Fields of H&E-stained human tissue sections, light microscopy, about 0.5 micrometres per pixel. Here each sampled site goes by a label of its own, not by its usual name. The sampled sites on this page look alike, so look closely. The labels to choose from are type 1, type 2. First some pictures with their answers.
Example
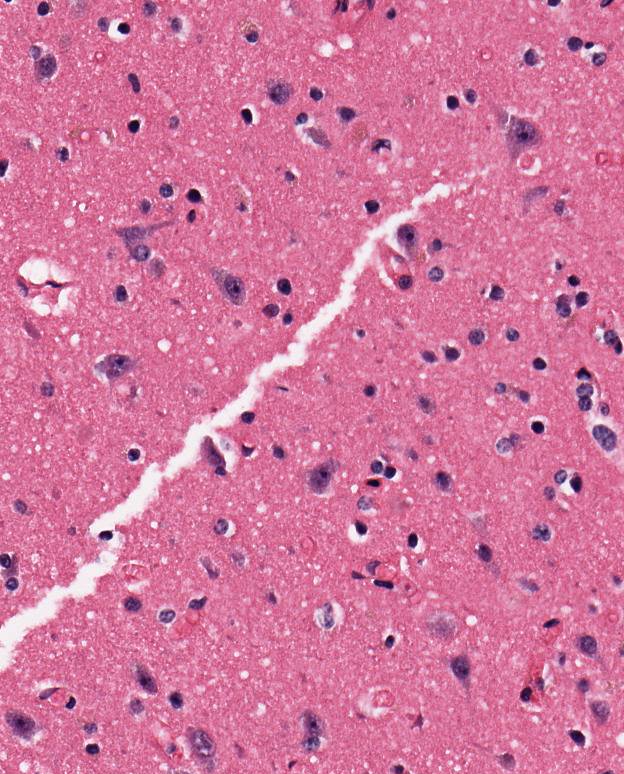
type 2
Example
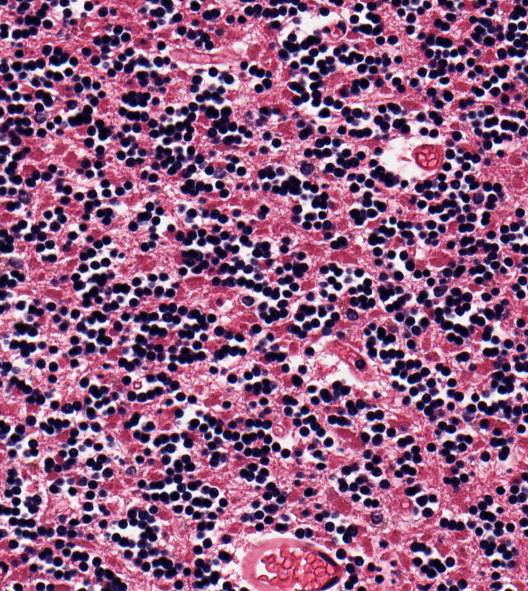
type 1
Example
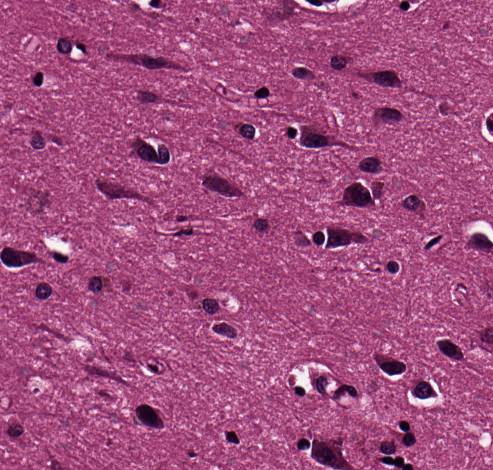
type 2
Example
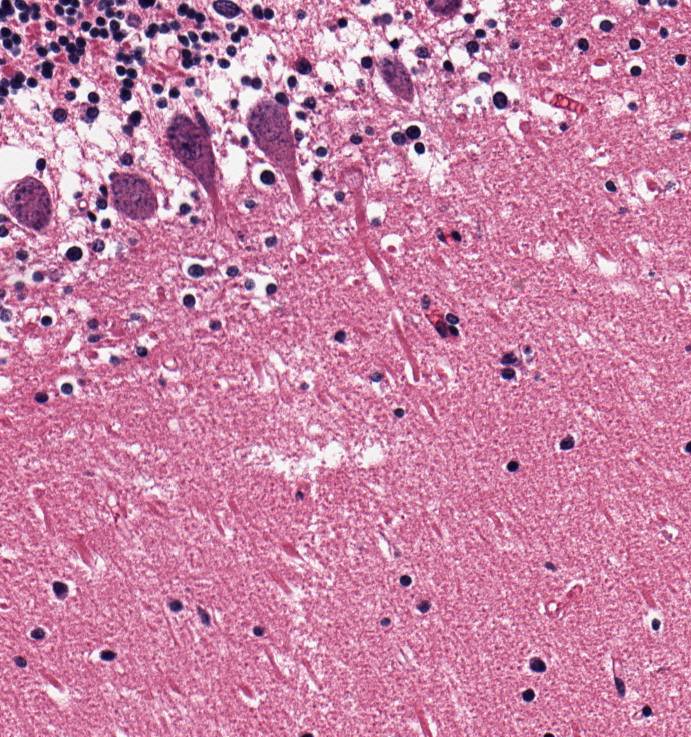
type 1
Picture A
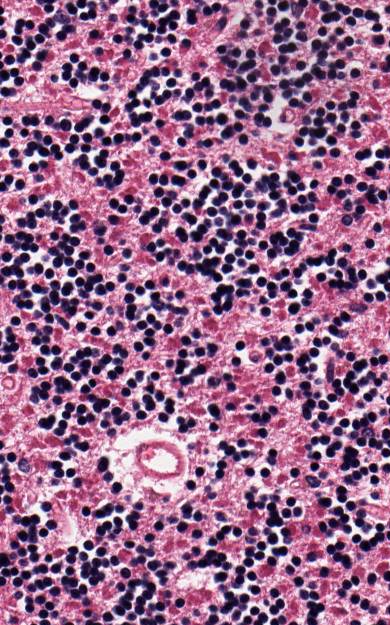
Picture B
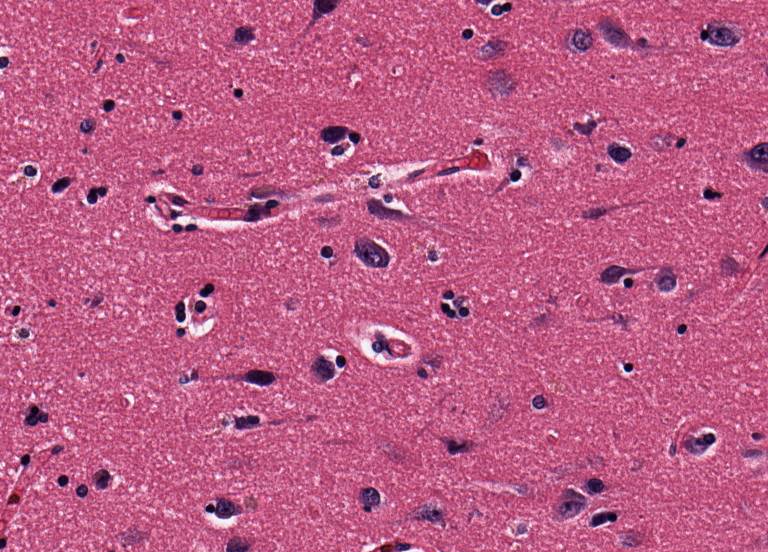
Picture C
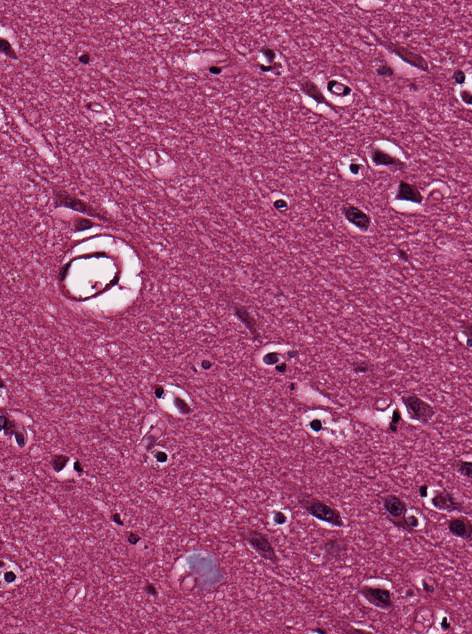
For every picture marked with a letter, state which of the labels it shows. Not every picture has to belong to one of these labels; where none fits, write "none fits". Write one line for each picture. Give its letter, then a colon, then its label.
A: type 1
B: type 2
C: type 2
